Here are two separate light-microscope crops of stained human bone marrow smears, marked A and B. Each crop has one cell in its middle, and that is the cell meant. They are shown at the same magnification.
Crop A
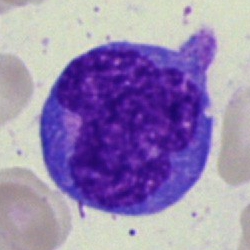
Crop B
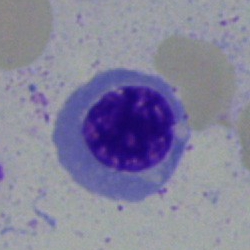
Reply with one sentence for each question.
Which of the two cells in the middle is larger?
The cell in crop A is larger, with about 2 times the area of the one in crop B.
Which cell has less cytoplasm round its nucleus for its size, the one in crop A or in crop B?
The nucleus fills more of the cell in crop A than in crop B.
